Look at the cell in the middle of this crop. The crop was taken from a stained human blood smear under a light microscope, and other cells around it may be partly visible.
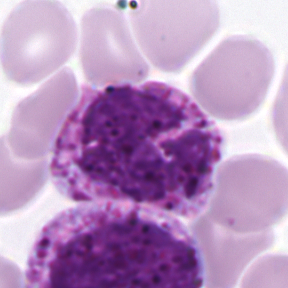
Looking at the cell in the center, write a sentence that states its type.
The cell at the centre of the field is a basophil.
